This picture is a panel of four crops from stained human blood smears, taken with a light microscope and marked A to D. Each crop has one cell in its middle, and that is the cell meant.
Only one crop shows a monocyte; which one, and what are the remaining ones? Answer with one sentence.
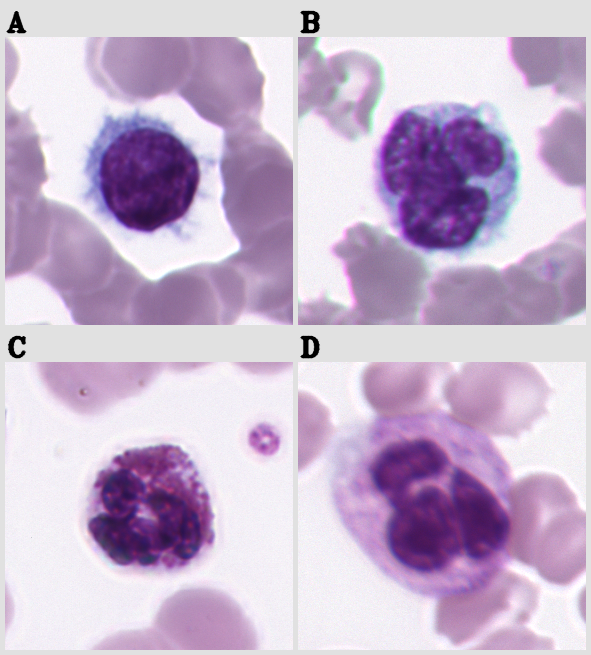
On the one hand crop B shows a monocyte; on the other, crop A is a hairy cell, crop C is an eosinophil and crop D is a segmented neutrophil.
